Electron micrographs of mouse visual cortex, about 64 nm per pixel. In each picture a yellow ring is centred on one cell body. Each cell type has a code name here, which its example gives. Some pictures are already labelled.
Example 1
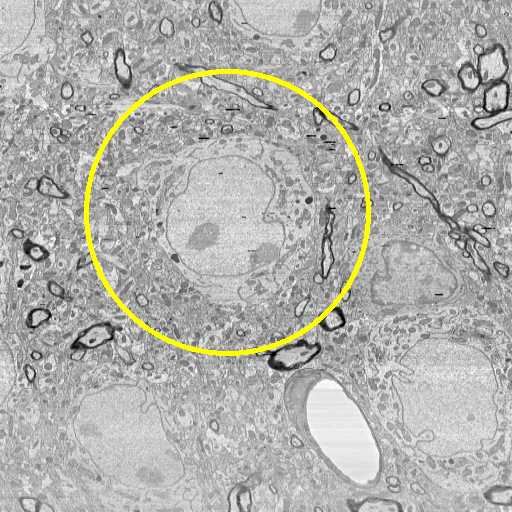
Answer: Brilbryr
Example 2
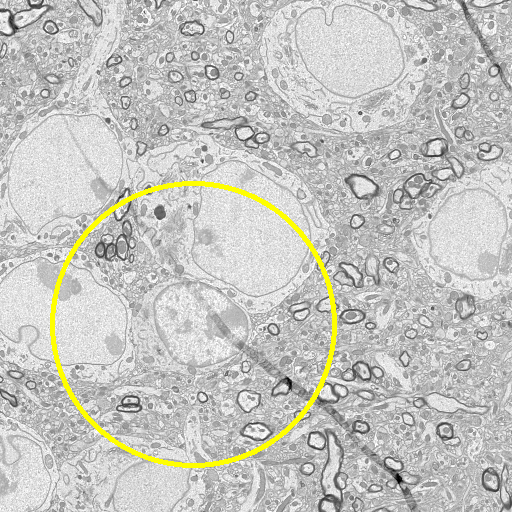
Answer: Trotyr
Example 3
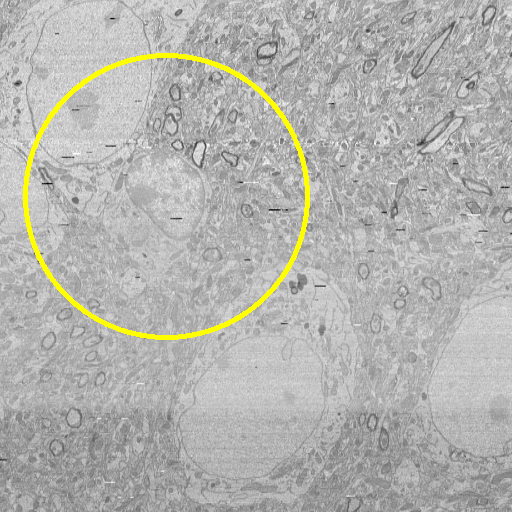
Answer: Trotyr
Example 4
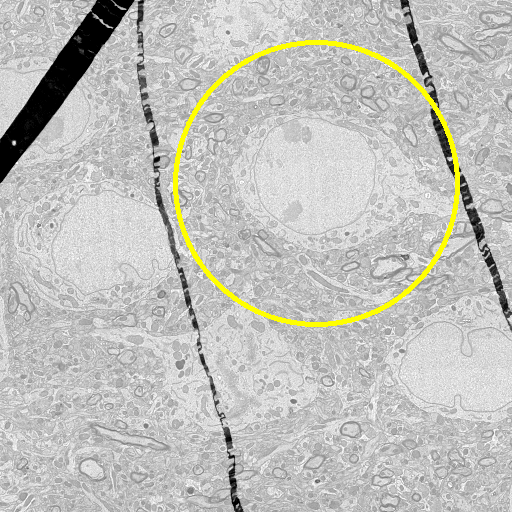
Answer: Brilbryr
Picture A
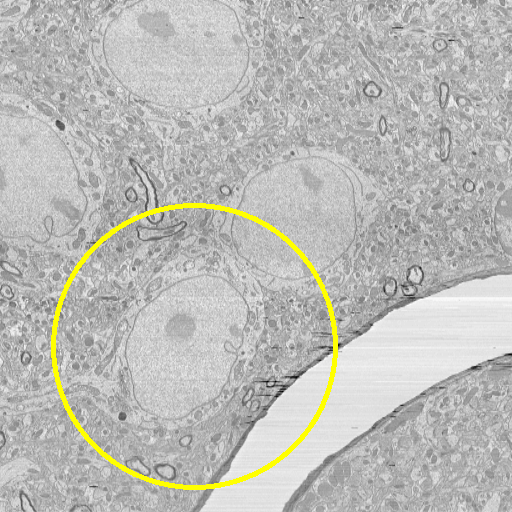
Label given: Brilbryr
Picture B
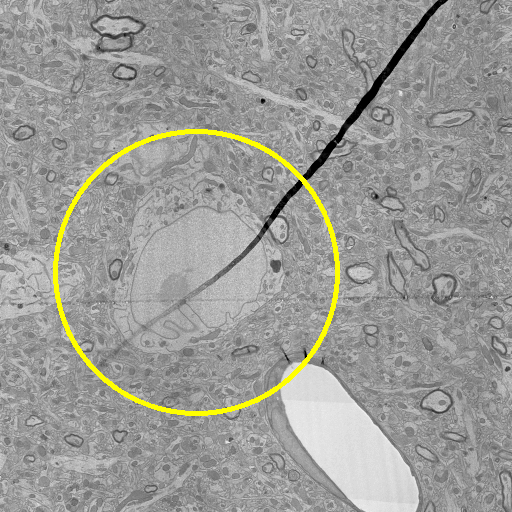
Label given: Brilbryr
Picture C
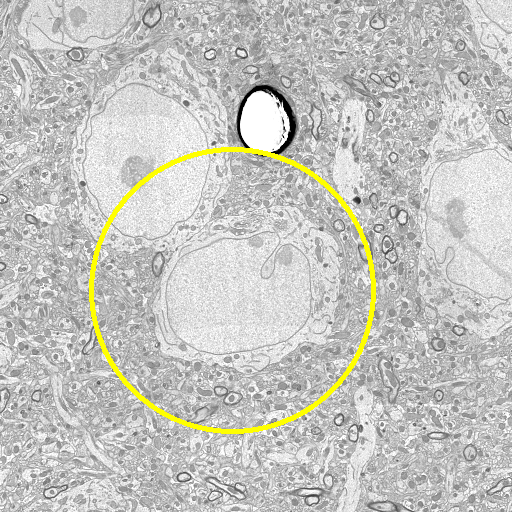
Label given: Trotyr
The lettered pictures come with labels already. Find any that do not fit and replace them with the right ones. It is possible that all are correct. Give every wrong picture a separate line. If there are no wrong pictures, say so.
C: not Trotyr but Brilbryr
